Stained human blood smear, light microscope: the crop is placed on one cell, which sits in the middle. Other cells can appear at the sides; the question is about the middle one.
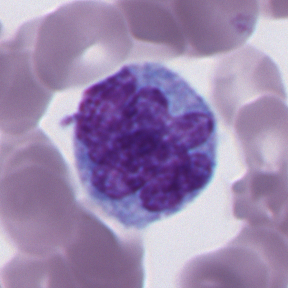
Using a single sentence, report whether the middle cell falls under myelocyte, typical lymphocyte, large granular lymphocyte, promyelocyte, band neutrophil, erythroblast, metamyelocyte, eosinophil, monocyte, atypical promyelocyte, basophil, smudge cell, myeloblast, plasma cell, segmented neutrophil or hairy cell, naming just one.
Centred in the crop is a monocyte.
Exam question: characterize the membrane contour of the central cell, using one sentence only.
The margin of this cell is irregular, showing raggedness or projections instead of smoothness.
